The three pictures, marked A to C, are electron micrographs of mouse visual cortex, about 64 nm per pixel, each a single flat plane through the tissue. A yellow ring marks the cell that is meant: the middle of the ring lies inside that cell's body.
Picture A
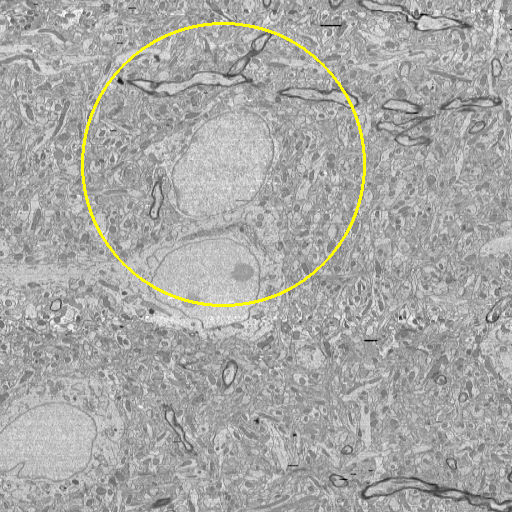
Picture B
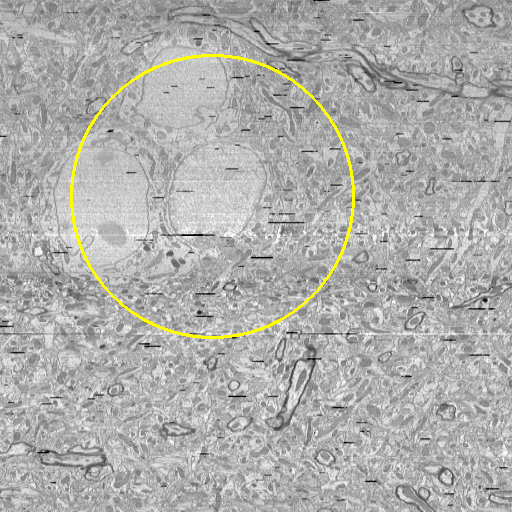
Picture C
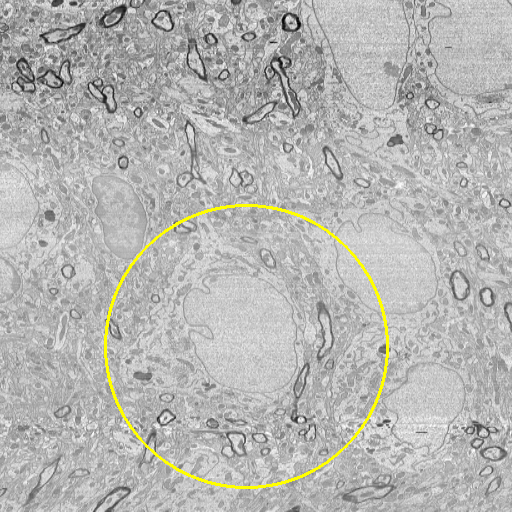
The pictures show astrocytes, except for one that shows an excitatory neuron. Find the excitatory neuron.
It is picture C that shows the excitatory neuron.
